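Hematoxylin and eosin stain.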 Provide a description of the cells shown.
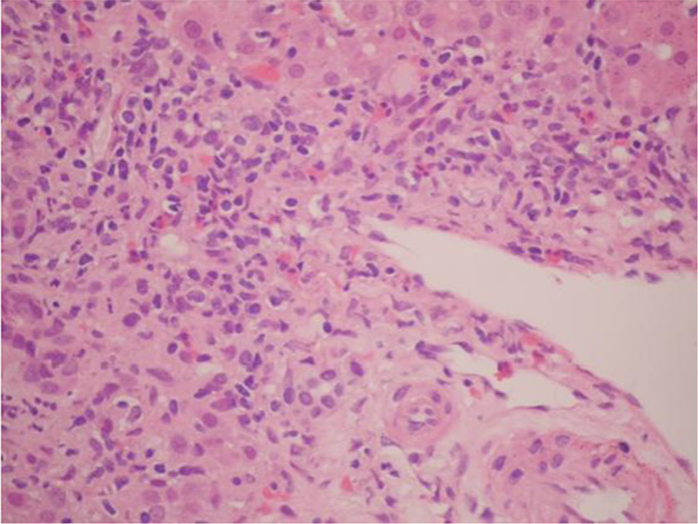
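A portal tract of the liver contains a wide empty vessel lumen and a small thick-walled vessel at the lower right, set in pale pink fibrous stroma. A dense infiltrate of mixed inflammatory cells, with dark round nuclei of lymphocytes and cells with more cytoplasm, fills the tract. At the top the infiltrate reaches in among large pink hepatocytes with round nuclei, blurring the border between tract and parenchyma.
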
